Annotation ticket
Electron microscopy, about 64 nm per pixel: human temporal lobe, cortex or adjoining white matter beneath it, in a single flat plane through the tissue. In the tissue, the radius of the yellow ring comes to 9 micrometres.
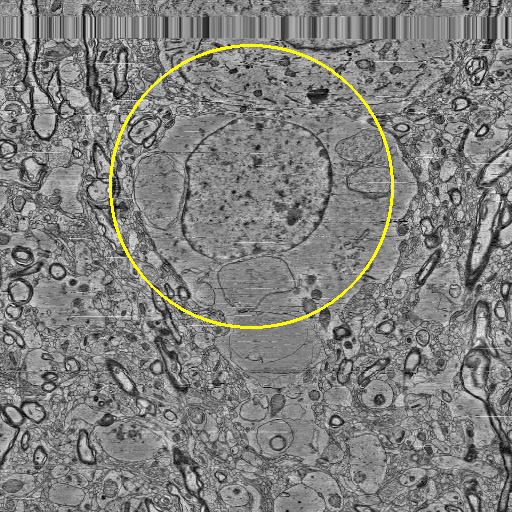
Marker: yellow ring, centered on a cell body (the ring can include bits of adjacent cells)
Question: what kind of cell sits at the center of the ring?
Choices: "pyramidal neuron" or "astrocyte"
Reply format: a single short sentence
The ring is centered on an astrocyte.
